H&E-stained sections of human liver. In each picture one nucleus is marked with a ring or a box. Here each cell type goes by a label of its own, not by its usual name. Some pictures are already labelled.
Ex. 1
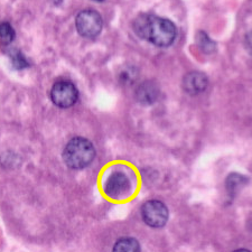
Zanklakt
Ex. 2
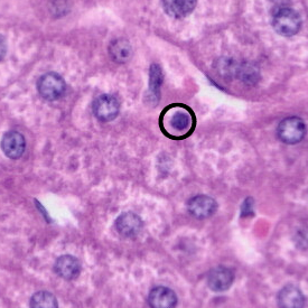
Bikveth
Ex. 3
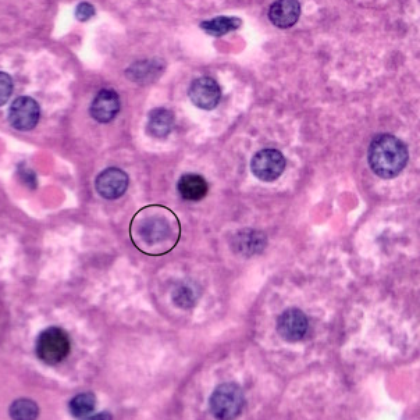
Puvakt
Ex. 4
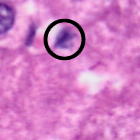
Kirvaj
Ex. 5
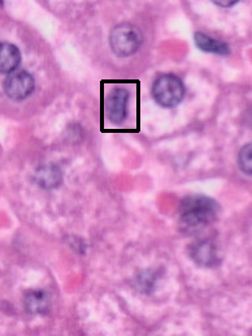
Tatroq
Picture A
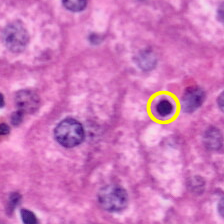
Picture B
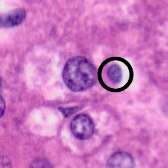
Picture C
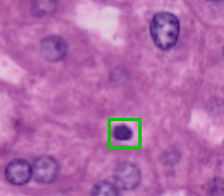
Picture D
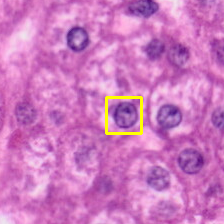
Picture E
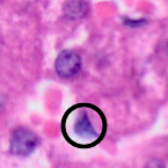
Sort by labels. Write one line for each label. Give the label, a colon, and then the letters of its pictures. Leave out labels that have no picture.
Bikveth: A, B, C
Puvakt: D
Kirvaj: E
